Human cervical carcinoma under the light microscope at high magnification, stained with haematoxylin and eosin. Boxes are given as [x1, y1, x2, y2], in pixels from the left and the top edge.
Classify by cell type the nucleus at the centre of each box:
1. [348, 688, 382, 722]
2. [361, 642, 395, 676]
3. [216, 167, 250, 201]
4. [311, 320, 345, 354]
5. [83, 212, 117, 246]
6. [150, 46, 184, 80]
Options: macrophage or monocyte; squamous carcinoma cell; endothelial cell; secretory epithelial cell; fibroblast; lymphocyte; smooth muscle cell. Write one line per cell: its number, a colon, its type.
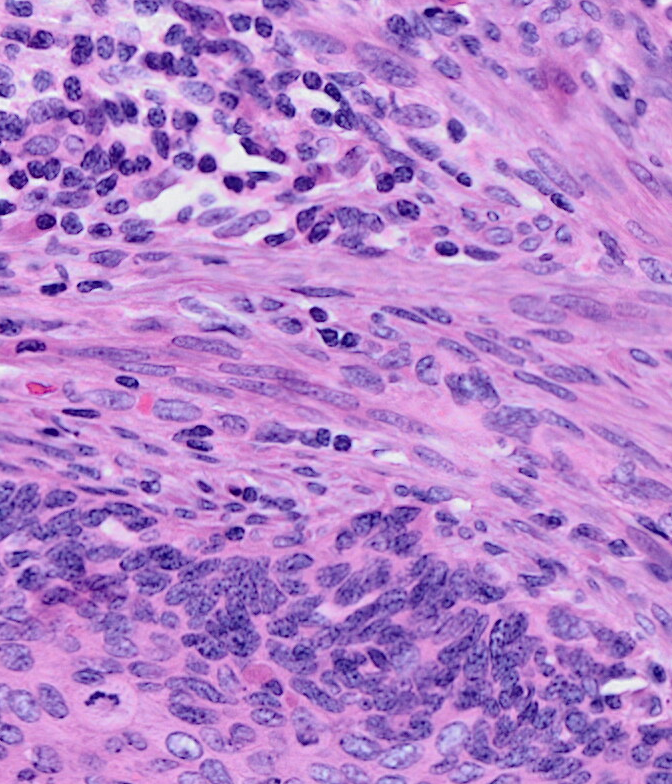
1: squamous carcinoma cell
2: squamous carcinoma cell
3: lymphocyte
4: lymphocyte
5: lymphocyte
6: lymphocyte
